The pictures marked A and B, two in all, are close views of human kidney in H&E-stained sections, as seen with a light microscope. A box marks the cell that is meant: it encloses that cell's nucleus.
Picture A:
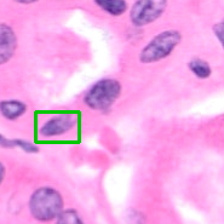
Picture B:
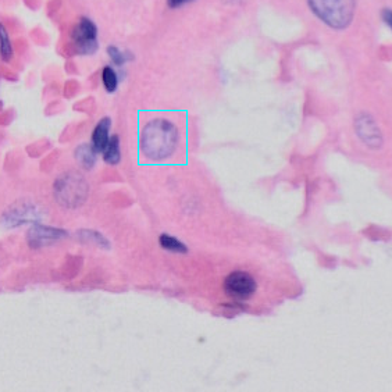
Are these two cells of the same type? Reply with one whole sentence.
No, picture A shows a collecting duct cell and picture B shows a proximal tubule cell.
